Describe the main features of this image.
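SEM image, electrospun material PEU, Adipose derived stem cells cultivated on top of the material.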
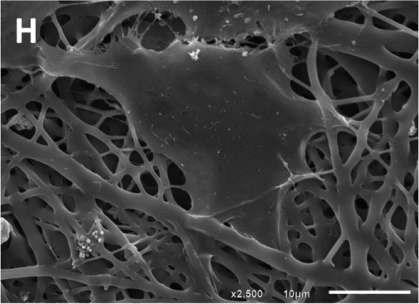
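The cell forms a broad, smooth sheet that covers the centre of the field and bridges several openings. Thin extensions run from its margins onto the surrounding fibers. Small particles lie scattered on the cell surface and on the fibers.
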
